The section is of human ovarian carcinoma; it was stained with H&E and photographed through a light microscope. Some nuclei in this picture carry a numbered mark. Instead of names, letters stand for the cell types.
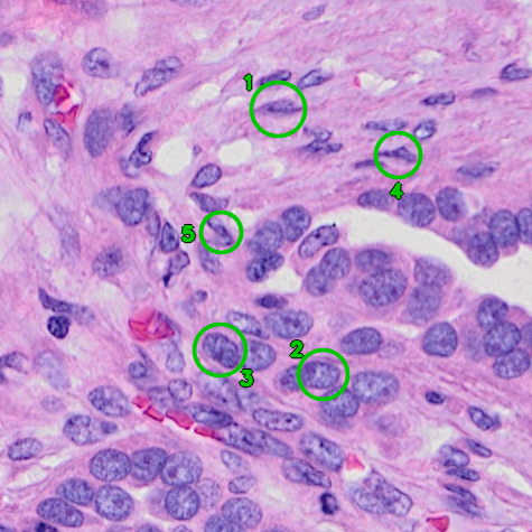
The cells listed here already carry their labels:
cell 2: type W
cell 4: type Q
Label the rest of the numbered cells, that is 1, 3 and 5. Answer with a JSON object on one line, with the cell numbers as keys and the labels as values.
{"1": "type Q", "3": "type W", "5": "type Q"}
